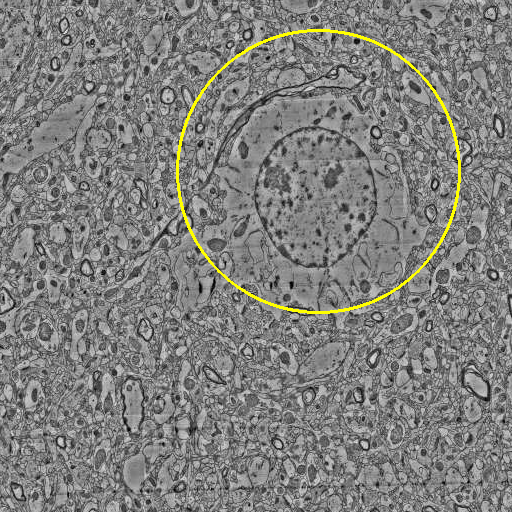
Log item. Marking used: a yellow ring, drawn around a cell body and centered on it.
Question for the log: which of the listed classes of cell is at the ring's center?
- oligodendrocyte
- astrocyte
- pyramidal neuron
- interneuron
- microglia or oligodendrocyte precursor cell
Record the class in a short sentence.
At the center of the ring lies an astrocyte.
